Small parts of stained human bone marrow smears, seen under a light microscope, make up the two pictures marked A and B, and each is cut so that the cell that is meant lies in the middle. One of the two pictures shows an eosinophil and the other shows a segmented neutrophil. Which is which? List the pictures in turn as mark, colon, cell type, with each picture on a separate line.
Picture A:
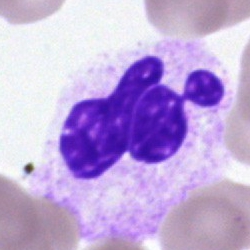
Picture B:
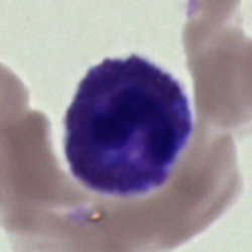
A: segmented neutrophil
B: eosinophil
